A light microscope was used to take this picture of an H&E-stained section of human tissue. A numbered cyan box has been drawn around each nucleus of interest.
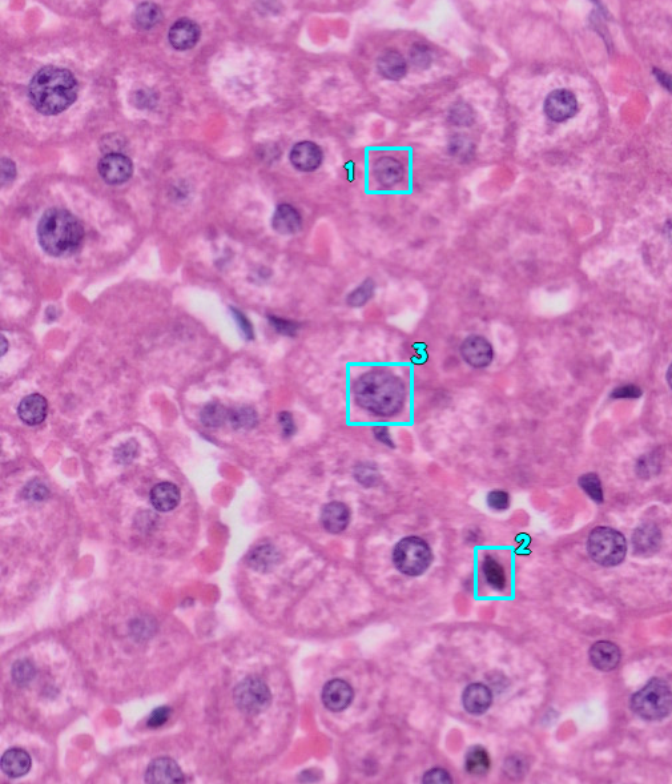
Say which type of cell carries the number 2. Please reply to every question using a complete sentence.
It is as a fibroblast or stellate cell that the cell numbered 2 is identified.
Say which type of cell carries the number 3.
The one numbered 3 among the marked cells is a hepatocyte.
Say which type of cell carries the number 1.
Nucleus 1 in this section belongs to a hepatocyte.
